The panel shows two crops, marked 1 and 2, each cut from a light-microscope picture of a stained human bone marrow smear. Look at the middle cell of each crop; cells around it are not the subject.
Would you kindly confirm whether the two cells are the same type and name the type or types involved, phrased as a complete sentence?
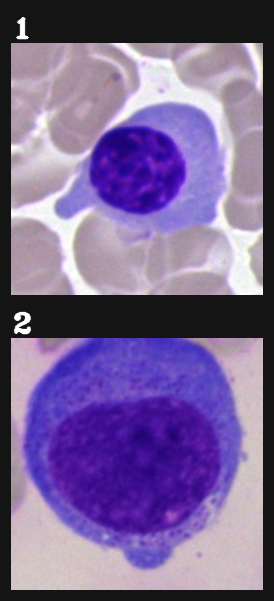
No, an erythroblast is the subject of crop 1, and a blast is the subject of crop 2.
